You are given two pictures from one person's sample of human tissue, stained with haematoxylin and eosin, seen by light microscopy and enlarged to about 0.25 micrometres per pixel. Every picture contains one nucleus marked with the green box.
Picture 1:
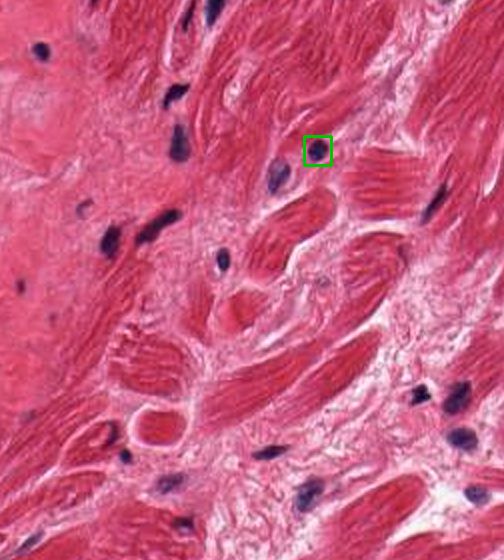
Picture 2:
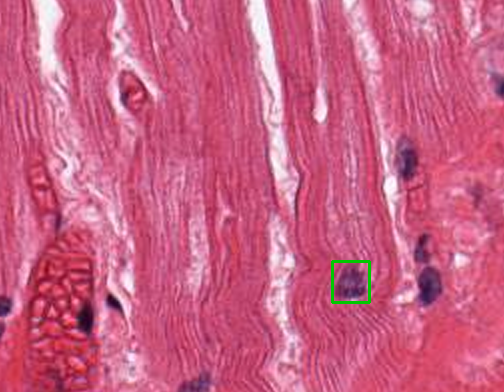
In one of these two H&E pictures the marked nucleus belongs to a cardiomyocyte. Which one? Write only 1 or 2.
2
